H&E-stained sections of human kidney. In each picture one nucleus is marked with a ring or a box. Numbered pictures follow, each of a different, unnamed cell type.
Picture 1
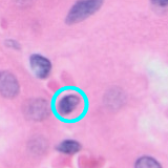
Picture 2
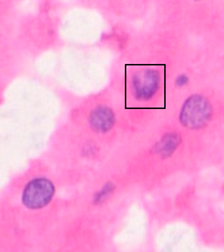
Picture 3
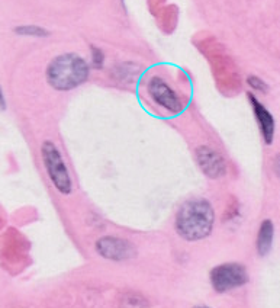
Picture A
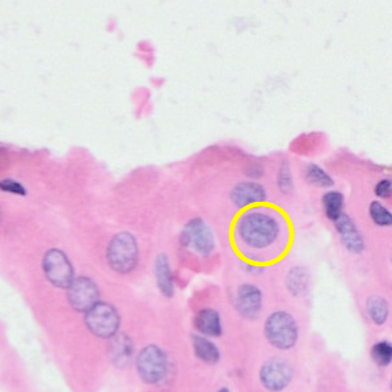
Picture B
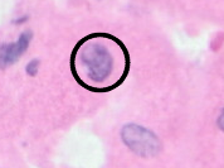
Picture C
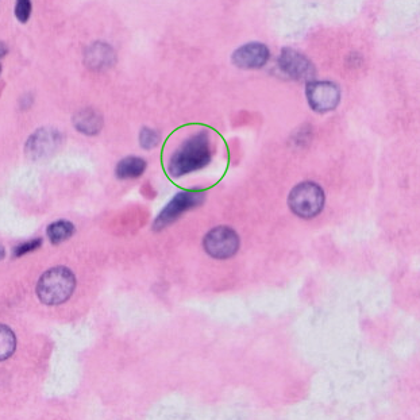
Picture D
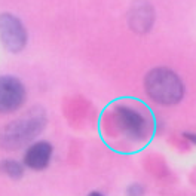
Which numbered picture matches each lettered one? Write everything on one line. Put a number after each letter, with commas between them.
A 3, B 2, C 1, D 1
